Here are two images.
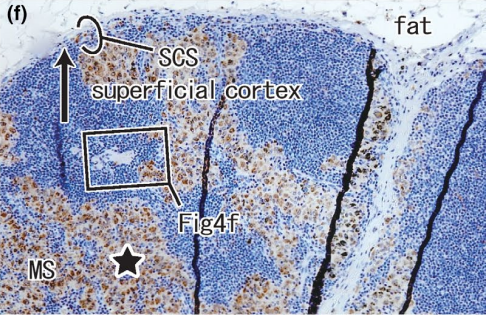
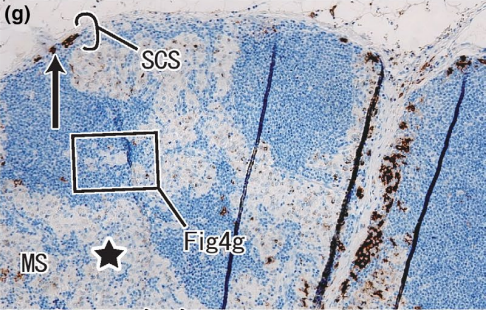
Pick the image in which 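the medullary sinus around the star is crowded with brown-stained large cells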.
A: The first image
